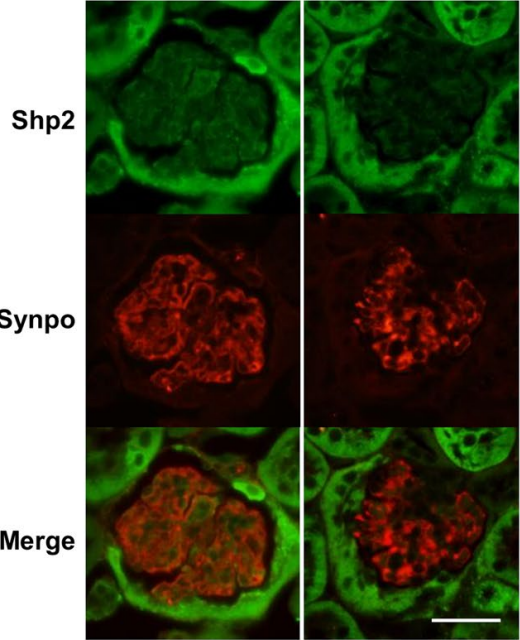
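Each image shows a section of kidney in which a rounded, lobulated tuft is ringed by cross-sectioned tubules. The tubules have bright green cytoplasm around darker, rounded nuclei and open lumens, and they give the strongest green signal in the field. Within the tuft, red staining traces the outlines of capillary loops in a lace-like pattern. This pattern fits podocytes lining the outer surface of the loops. The green signal inside the tuft is fainter than in the surrounding tubules.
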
